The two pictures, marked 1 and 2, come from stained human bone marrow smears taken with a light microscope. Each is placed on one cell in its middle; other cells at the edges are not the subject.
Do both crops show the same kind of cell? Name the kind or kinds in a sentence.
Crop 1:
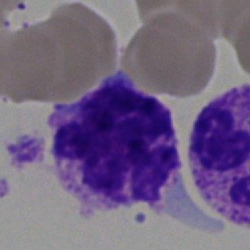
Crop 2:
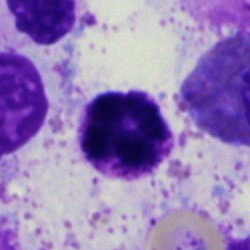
Yes, both crops do show basophils in the middle.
